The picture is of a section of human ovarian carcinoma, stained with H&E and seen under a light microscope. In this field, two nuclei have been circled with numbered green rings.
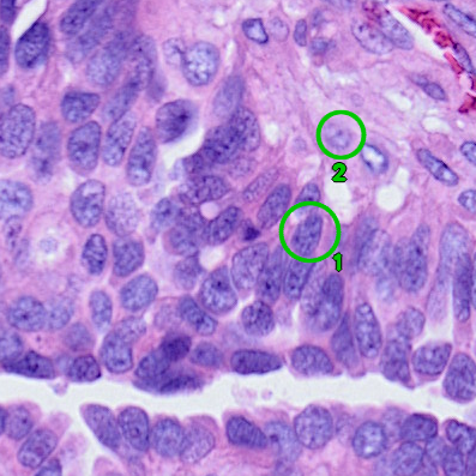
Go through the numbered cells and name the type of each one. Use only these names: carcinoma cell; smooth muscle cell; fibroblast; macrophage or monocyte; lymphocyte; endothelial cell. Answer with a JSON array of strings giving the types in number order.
["carcinoma cell", "fibroblast"]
